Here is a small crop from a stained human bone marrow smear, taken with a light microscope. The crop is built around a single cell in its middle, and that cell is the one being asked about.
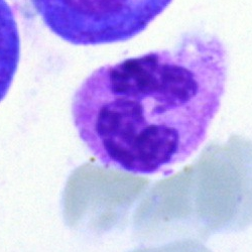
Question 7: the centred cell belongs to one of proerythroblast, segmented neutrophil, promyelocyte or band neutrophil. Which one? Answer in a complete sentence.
The centrally positioned cell in the crop represents a segmented neutrophil.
